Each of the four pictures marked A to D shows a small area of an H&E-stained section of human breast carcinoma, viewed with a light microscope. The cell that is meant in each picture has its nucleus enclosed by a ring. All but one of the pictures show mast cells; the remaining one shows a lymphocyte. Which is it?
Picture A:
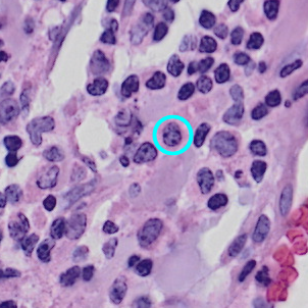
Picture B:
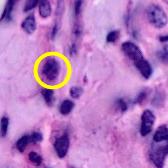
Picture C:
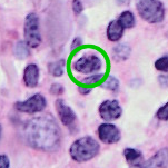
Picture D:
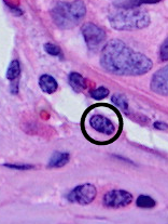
C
